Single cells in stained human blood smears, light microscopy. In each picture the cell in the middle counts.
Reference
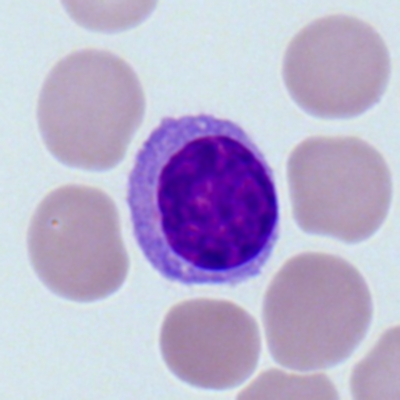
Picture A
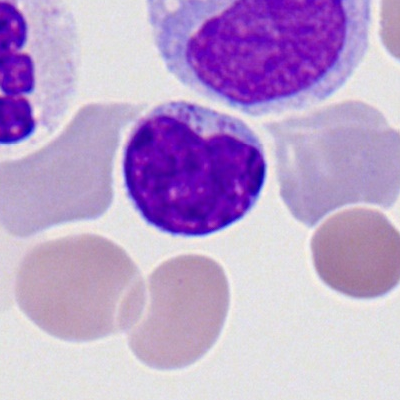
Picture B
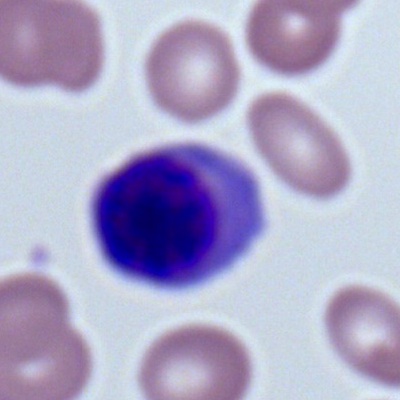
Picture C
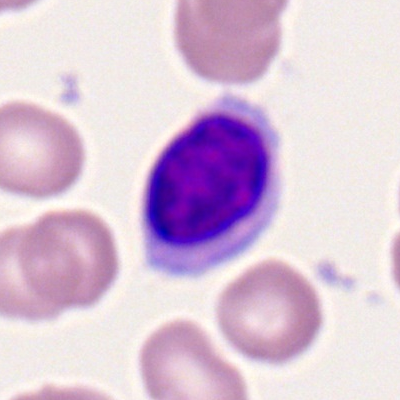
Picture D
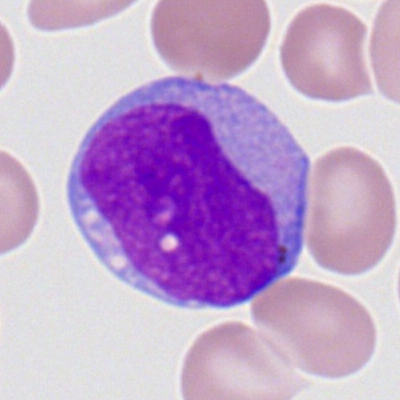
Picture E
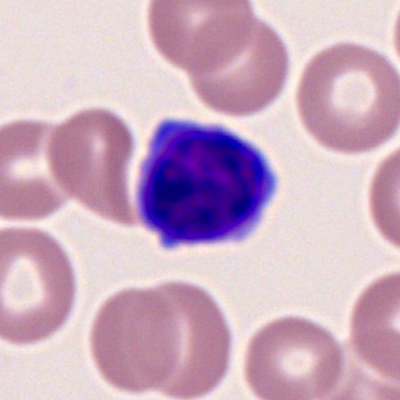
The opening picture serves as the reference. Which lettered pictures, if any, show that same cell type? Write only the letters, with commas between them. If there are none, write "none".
A, B, C, E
